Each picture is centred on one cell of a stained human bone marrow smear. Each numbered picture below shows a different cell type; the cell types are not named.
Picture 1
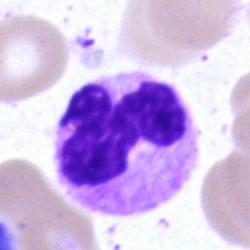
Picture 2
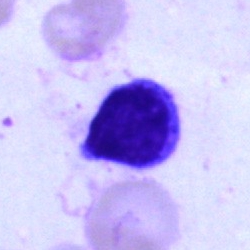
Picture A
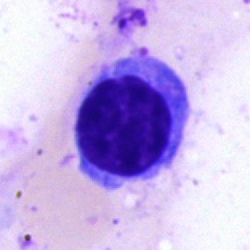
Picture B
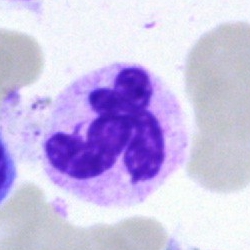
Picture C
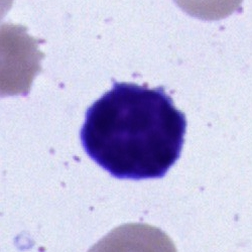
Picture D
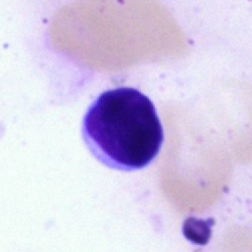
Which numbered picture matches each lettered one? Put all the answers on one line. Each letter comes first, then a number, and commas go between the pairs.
A 2, B 1, C 2, D 2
